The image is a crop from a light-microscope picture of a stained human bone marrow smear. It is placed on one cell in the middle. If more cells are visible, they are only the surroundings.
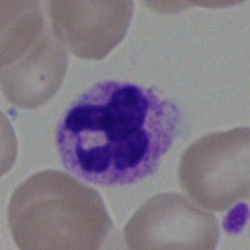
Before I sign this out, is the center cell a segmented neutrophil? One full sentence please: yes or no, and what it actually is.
Yes, the identification of the central cell as a segmented neutrophil is correct.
